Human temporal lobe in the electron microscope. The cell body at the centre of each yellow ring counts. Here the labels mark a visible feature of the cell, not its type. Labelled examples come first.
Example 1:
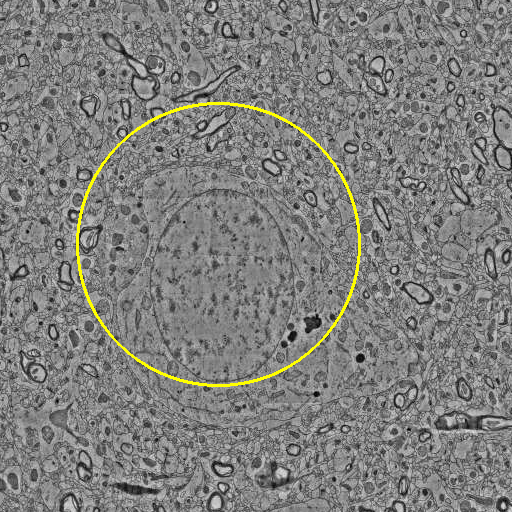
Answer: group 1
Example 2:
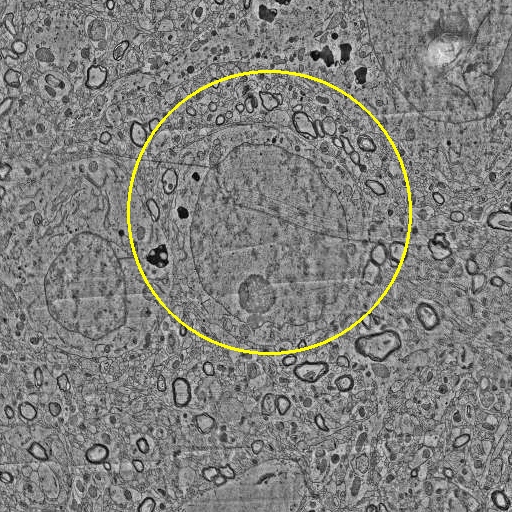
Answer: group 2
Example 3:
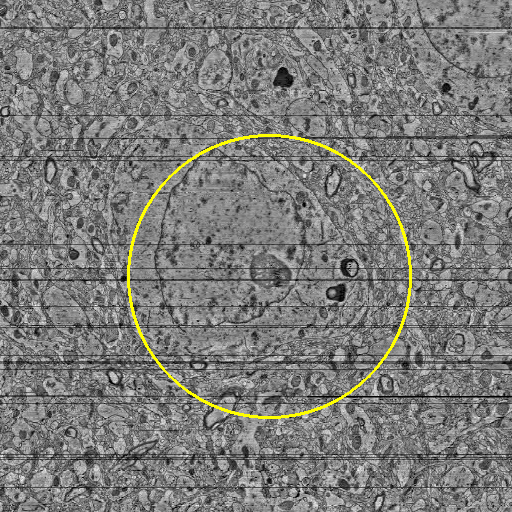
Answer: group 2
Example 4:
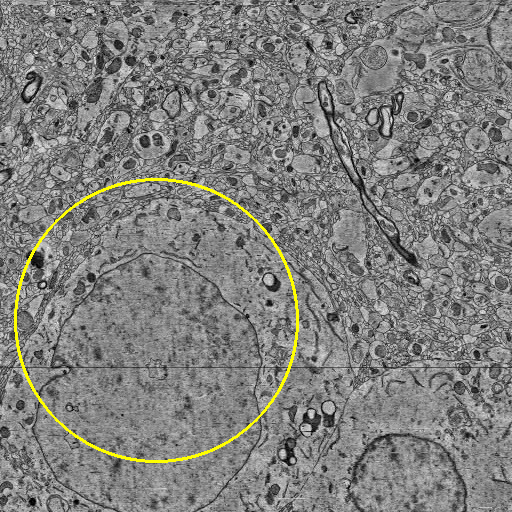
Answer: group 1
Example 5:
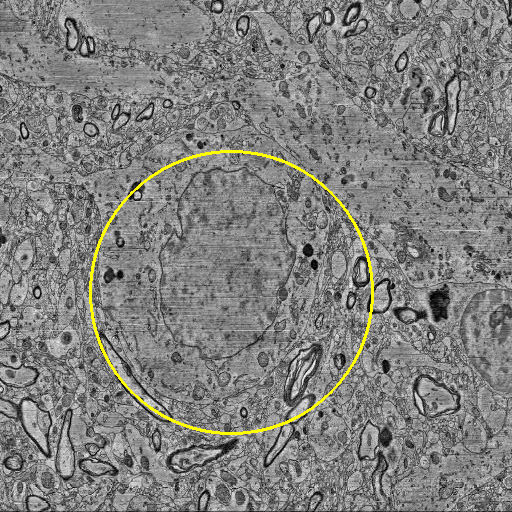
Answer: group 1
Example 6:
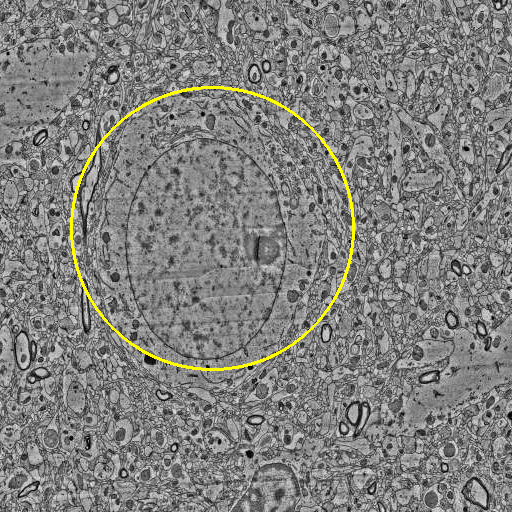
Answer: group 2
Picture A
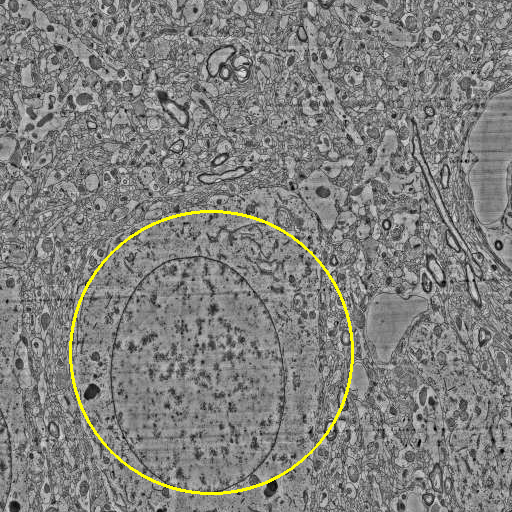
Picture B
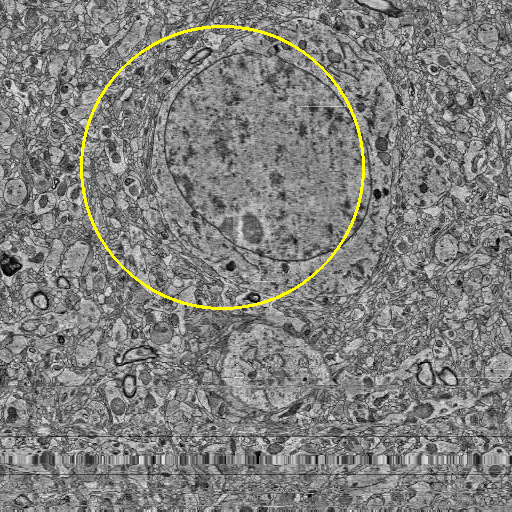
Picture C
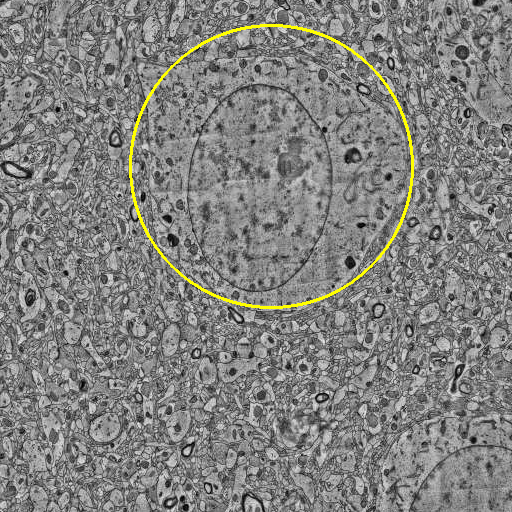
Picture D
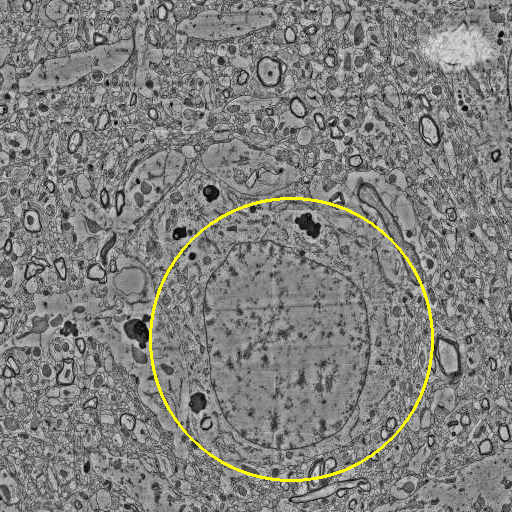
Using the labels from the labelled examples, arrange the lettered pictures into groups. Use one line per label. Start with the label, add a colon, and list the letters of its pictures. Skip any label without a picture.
group 1: A, D
group 2: B, C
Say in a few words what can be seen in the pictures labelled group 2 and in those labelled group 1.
group 2, nucleolus seen; group 1, no nucleolus seen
